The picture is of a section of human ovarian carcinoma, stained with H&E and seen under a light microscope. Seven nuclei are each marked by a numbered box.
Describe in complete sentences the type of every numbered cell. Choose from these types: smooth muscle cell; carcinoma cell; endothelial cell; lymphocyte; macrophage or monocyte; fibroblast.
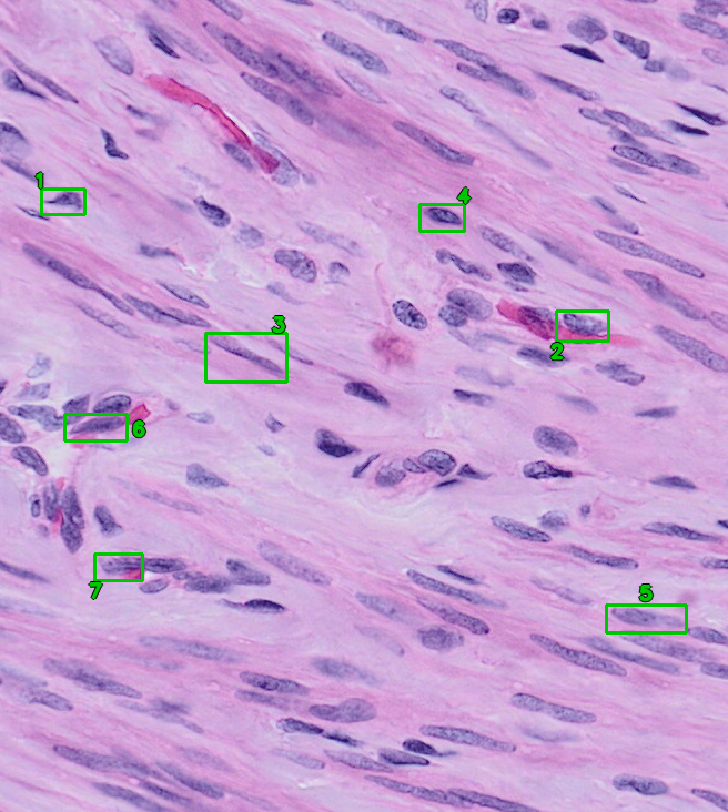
Cell 1 is a fibroblast, cell 2 is an endothelial cell, cell 3 is a smooth muscle cell, cell 4 is a smooth muscle cell, cell 5 is a smooth muscle cell, cell 6 is an endothelial cell and cell 7 is an endothelial cell.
